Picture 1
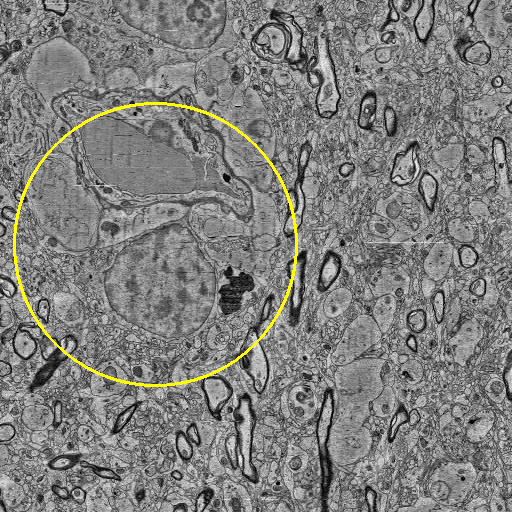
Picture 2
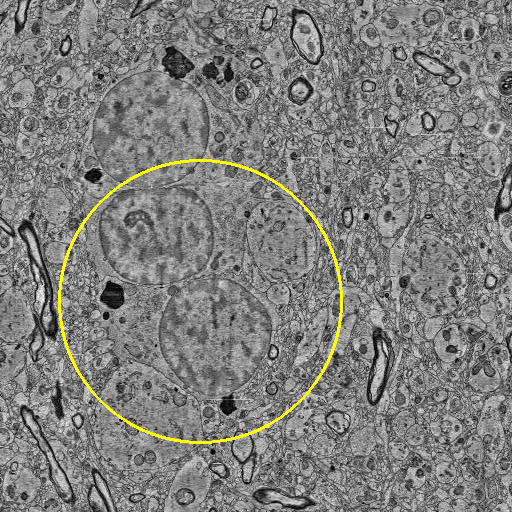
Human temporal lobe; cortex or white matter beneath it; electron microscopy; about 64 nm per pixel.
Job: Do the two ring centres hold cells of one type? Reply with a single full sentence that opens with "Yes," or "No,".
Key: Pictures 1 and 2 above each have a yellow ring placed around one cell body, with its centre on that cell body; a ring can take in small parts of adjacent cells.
Yes, the cells at the two ring centres are of one single type.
